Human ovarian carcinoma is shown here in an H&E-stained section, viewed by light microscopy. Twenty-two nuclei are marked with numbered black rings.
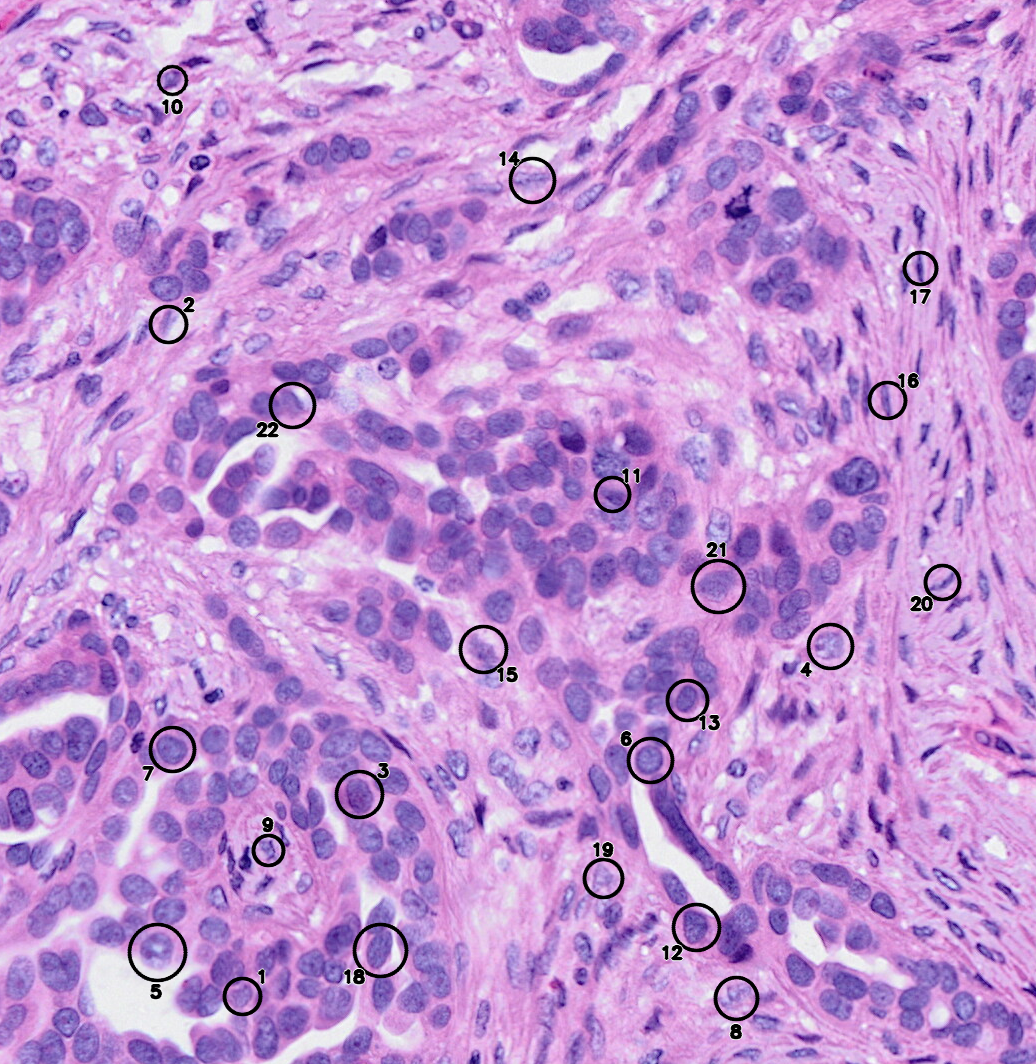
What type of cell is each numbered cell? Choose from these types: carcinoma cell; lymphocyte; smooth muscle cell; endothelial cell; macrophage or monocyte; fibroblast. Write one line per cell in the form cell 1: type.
cell 1: carcinoma cell
cell 2: fibroblast
cell 3: carcinoma cell
cell 4: fibroblast
cell 5: carcinoma cell
cell 6: carcinoma cell
cell 7: carcinoma cell
cell 8: fibroblast
cell 9: fibroblast
cell 10: fibroblast
cell 11: carcinoma cell
cell 12: carcinoma cell
cell 13: carcinoma cell
cell 14: fibroblast
cell 15: fibroblast
cell 16: fibroblast
cell 17: fibroblast
cell 18: carcinoma cell
cell 19: fibroblast
cell 20: fibroblast
cell 21: carcinoma cell
cell 22: carcinoma cell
